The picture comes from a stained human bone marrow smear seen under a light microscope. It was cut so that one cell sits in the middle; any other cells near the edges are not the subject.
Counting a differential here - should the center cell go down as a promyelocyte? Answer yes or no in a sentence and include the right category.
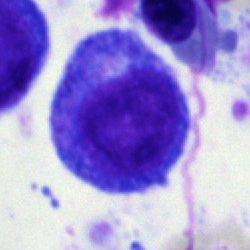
Yes, the cell that the crop is centred on is a promyelocyte.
